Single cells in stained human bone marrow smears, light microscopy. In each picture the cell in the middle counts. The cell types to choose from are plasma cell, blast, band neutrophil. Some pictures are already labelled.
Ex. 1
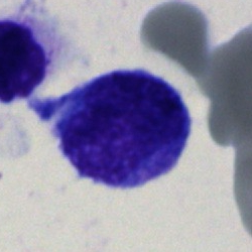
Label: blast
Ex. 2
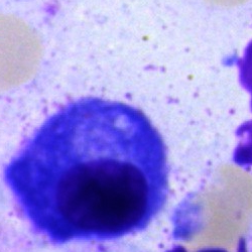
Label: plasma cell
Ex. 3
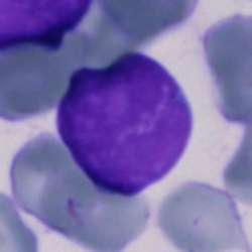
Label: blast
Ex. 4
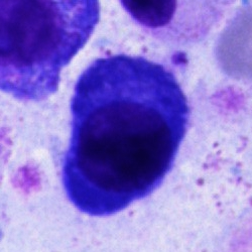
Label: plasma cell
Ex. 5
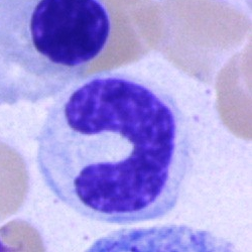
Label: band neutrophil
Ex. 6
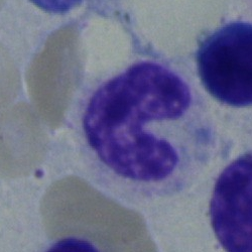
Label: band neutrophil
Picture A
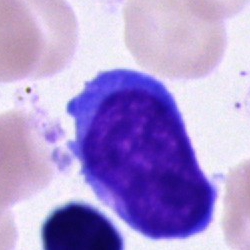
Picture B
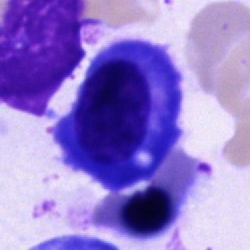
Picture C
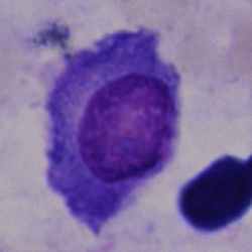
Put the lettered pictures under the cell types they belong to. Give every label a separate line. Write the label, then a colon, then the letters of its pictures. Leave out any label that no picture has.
plasma cell: B, C
blast: A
